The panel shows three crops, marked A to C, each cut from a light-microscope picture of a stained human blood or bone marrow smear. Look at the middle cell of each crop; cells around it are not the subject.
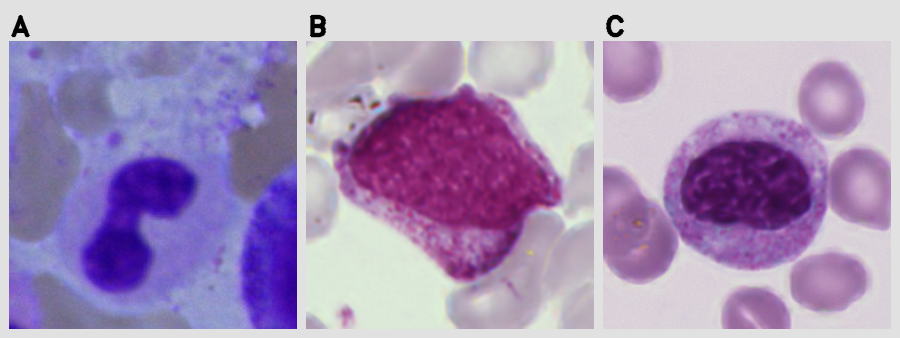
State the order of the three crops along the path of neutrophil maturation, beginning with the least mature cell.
B, C, A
